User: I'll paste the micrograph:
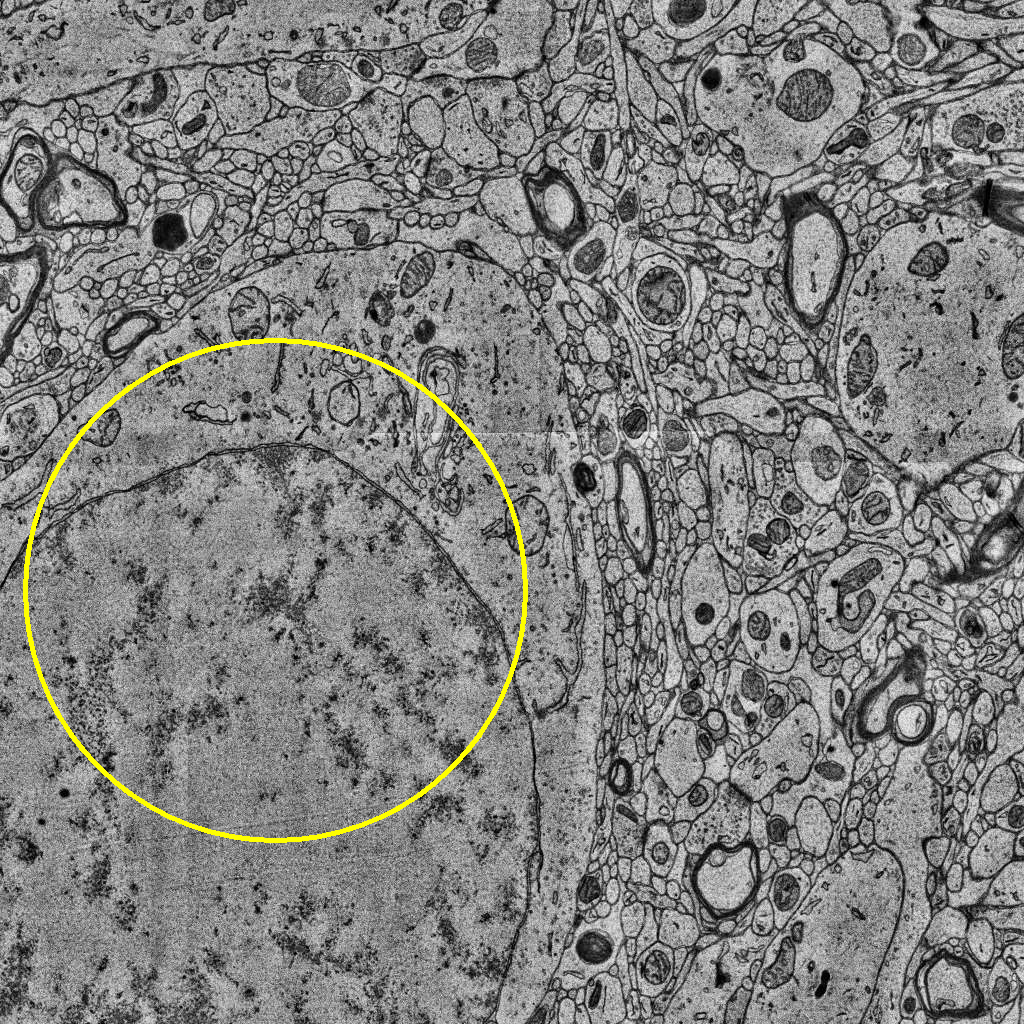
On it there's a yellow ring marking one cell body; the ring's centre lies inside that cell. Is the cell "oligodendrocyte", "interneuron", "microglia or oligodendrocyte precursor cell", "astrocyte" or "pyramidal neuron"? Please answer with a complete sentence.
The cell at the centre of the yellow ring is a pyramidal neuron.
